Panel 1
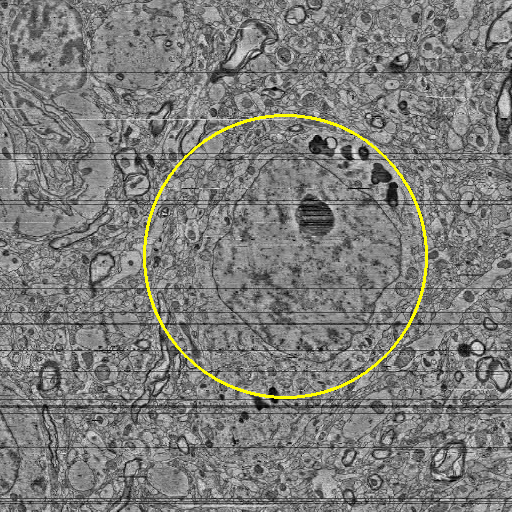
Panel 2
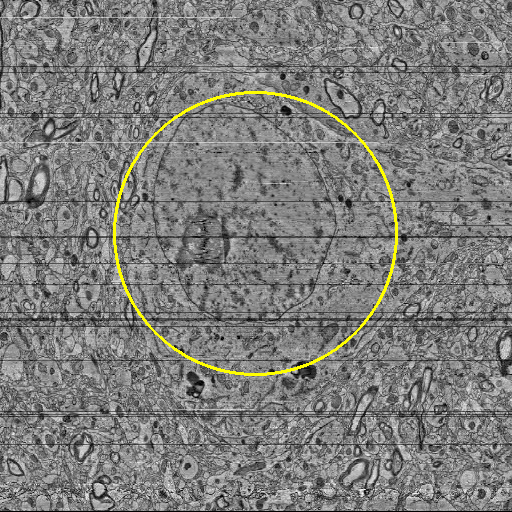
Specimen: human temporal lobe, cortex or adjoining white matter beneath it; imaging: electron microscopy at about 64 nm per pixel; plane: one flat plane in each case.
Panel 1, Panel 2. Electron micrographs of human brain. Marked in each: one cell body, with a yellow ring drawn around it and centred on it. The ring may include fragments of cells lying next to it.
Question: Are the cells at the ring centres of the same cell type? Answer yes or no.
yes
